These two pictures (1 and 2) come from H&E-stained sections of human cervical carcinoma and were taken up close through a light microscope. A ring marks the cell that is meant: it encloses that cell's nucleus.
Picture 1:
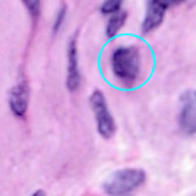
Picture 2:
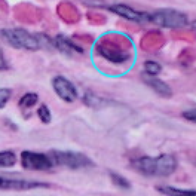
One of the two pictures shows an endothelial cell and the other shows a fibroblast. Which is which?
1: fibroblast
2: endothelial cell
